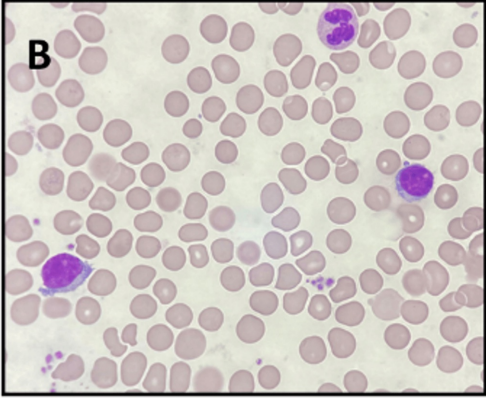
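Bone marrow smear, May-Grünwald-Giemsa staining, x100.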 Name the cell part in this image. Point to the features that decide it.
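Small cytoplasmic buds. Lymphoid cells with round purple nuclei and a rim of pale blue cytoplasm. The cytoplasmic border of these cells is irregular with small projections.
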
